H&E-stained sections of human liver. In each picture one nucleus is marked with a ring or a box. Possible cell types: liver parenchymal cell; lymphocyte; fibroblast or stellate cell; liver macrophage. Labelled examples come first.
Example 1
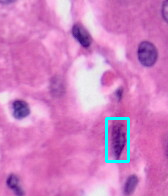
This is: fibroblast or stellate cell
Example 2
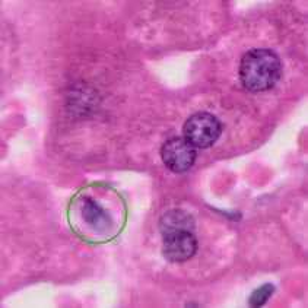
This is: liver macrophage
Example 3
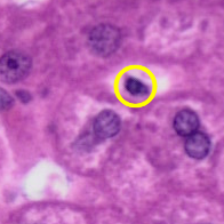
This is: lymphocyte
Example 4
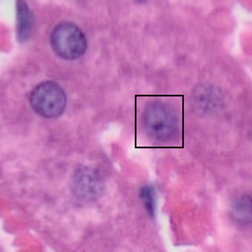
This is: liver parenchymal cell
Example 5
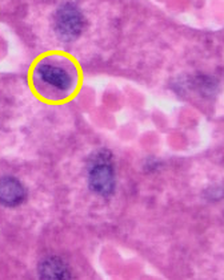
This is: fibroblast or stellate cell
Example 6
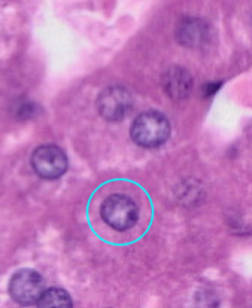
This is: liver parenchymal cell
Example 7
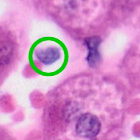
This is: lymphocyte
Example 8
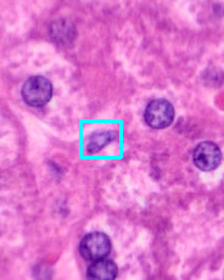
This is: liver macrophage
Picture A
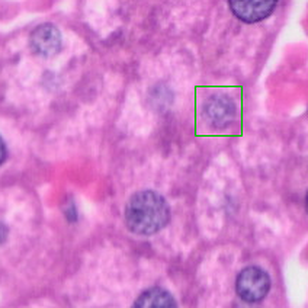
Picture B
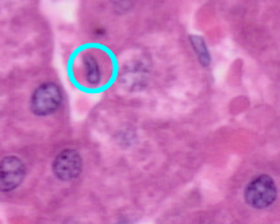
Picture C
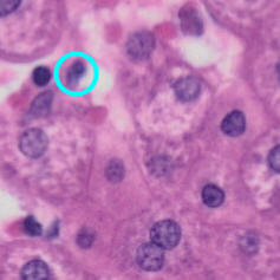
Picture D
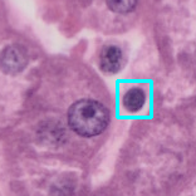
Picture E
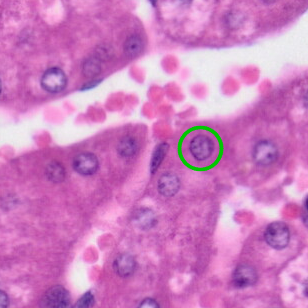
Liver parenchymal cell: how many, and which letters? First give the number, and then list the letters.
2: A, E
